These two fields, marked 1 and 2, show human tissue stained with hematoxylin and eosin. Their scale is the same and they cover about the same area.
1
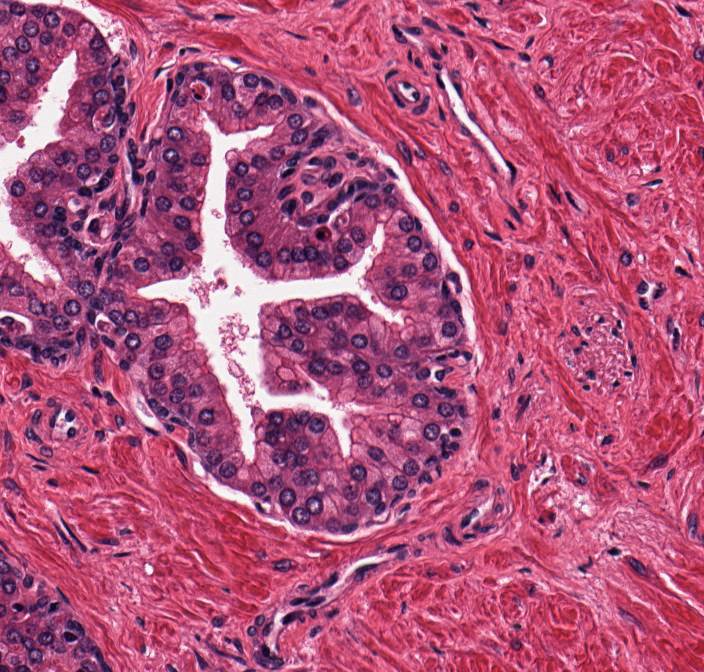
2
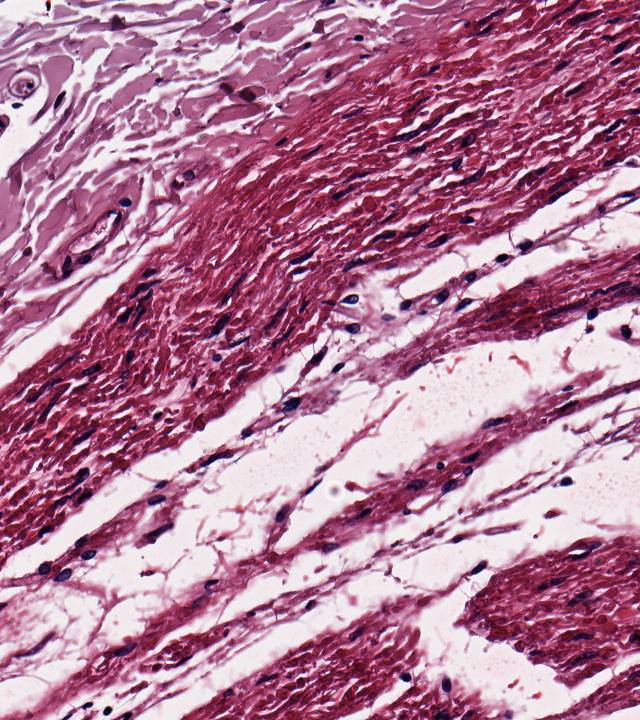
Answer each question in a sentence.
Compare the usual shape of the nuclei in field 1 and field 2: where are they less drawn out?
On the whole the nuclei of field 1 are rounder than those of field 2.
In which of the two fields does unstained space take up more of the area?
It is field 2 in which white space covers the larger part.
